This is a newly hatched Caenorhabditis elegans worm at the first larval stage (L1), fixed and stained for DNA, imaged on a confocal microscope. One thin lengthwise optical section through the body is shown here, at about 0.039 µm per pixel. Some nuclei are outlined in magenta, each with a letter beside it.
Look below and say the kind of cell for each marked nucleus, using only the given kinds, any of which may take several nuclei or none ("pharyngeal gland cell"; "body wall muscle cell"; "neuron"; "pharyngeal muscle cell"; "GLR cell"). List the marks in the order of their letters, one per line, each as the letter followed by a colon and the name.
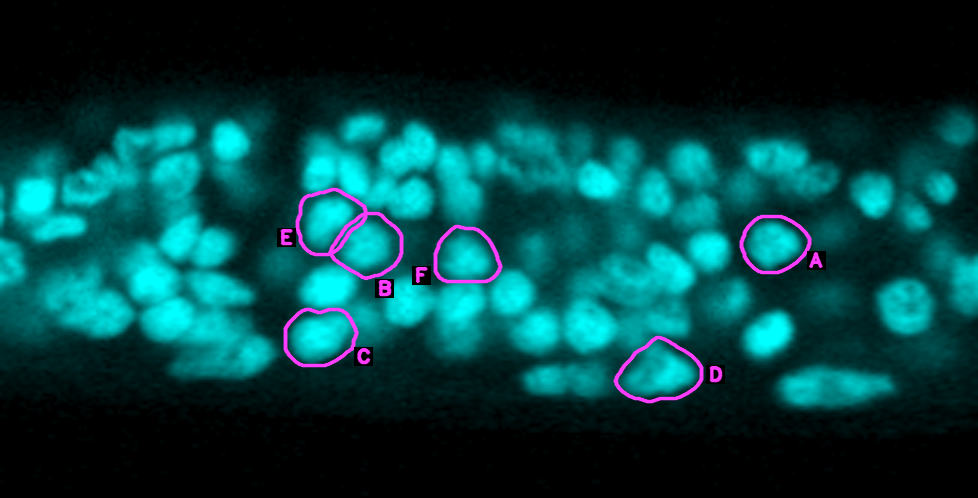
A: pharyngeal muscle cell
B: neuron
C: neuron
D: body wall muscle cell
E: GLR cell
F: neuron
